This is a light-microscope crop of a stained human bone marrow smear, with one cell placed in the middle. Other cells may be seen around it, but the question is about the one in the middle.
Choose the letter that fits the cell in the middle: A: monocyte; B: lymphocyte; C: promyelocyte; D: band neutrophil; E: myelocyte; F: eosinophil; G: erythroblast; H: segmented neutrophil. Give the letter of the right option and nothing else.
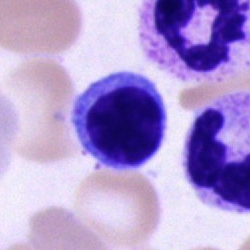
B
